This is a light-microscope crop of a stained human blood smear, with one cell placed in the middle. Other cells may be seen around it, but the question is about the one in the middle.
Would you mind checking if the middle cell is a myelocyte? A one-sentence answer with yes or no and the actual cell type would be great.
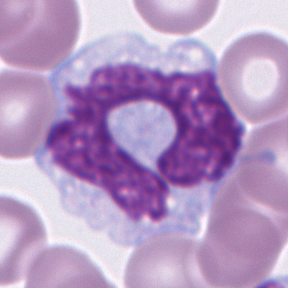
No, the central cell is not a myelocyte, being instead a monocyte.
